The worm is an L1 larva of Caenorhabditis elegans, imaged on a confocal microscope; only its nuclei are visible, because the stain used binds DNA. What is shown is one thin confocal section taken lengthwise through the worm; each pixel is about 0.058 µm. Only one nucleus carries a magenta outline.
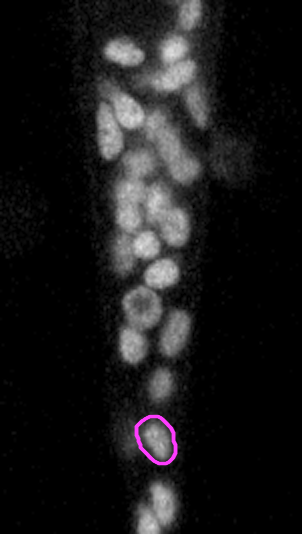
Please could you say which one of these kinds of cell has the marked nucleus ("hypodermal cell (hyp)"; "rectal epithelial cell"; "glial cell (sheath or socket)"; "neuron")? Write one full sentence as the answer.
The cell with the marked nucleus is a hypodermal cell (hyp).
